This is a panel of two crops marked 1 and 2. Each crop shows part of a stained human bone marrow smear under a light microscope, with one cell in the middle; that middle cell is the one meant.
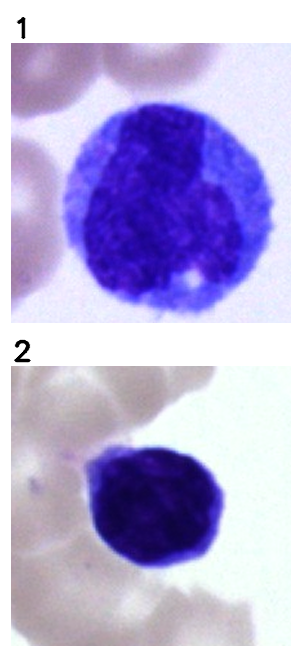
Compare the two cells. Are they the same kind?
no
